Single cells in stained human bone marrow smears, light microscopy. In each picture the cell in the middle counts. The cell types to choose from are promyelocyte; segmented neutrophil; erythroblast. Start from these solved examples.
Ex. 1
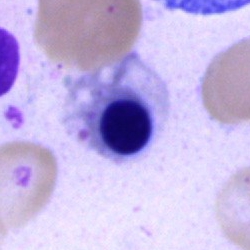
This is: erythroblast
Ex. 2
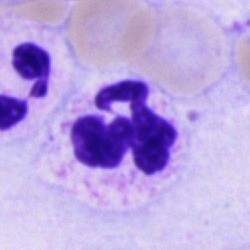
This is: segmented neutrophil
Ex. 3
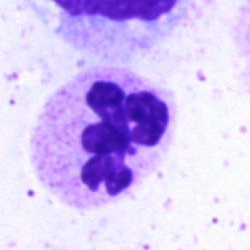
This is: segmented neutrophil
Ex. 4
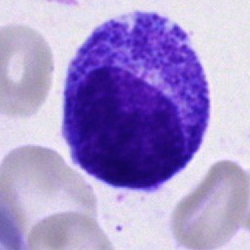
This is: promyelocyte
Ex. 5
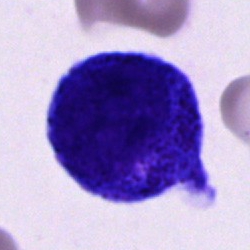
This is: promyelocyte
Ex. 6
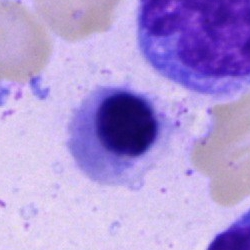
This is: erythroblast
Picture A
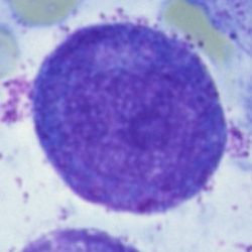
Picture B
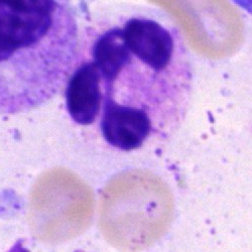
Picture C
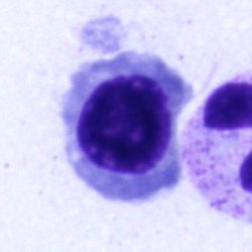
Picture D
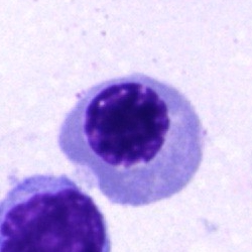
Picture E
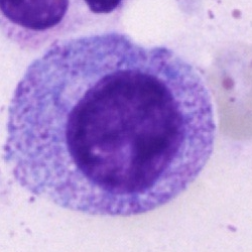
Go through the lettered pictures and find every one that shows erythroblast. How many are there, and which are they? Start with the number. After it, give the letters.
Count: 2 (C, D)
